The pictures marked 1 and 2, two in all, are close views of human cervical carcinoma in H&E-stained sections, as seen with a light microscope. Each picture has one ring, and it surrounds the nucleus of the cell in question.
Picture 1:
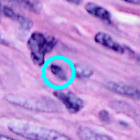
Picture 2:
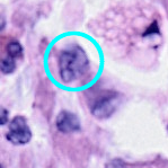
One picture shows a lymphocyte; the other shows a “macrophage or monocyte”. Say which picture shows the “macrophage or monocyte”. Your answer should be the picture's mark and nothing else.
2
